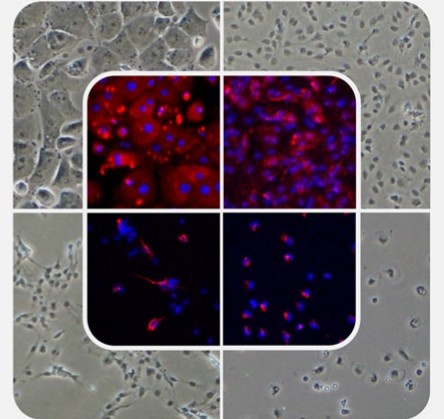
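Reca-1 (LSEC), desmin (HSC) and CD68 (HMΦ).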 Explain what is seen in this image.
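Four cultures of isolated liver cells, each shown in phase contrast with a fluorescence image set in the centre. Top left, hepatocytes are large polygonal cells with round nuclei, their cytoplasm strongly red around blue nuclei. Top right, sinusoidal endothelial cells form a crowded layer of small cells with red staining among many blue nuclei. Bottom left, stellate cells are scattered and stellate to elongated, several with long red processes. Bottom right, macrophages are small rounded cells with red signal next to blue nuclei.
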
